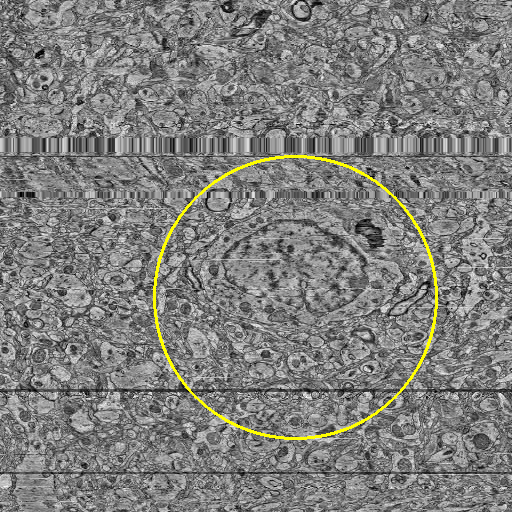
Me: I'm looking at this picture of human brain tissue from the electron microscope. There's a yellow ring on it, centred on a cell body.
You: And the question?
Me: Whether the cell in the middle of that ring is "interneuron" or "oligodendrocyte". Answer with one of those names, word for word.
interneuron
